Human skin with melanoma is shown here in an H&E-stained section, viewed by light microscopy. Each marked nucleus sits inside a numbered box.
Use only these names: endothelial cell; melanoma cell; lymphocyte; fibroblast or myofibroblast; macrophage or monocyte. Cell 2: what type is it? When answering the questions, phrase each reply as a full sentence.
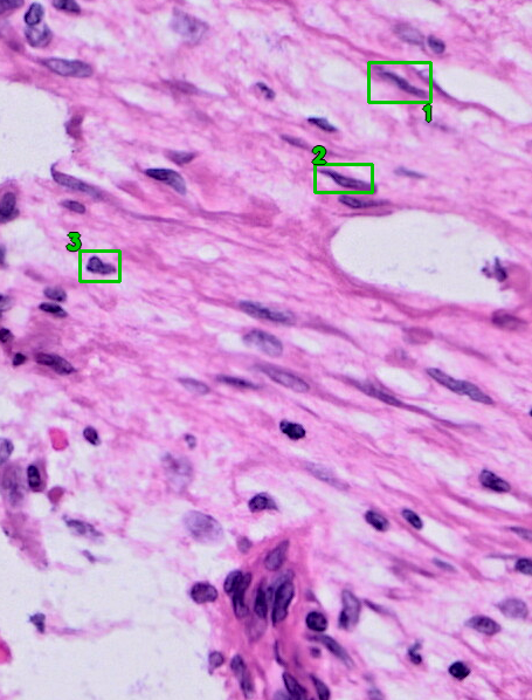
Heads up, the cell numbered 2 is a fibroblast or myofibroblast.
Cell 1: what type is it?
The correct label for cell 1 is a fibroblast or myofibroblast.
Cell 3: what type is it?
The cell carrying label 3 is identified as a lymphocyte.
